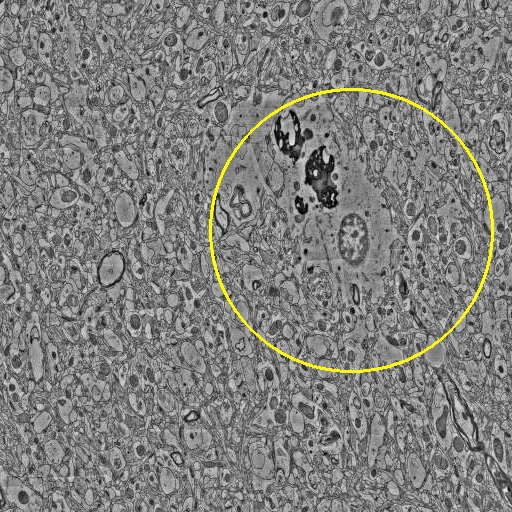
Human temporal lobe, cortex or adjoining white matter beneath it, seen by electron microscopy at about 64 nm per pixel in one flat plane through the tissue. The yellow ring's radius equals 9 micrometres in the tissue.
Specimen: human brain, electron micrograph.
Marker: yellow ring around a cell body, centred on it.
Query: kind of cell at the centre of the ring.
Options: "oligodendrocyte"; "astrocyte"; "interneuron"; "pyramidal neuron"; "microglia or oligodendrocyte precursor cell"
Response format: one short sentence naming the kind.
This cell body belongs to an astrocyte.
